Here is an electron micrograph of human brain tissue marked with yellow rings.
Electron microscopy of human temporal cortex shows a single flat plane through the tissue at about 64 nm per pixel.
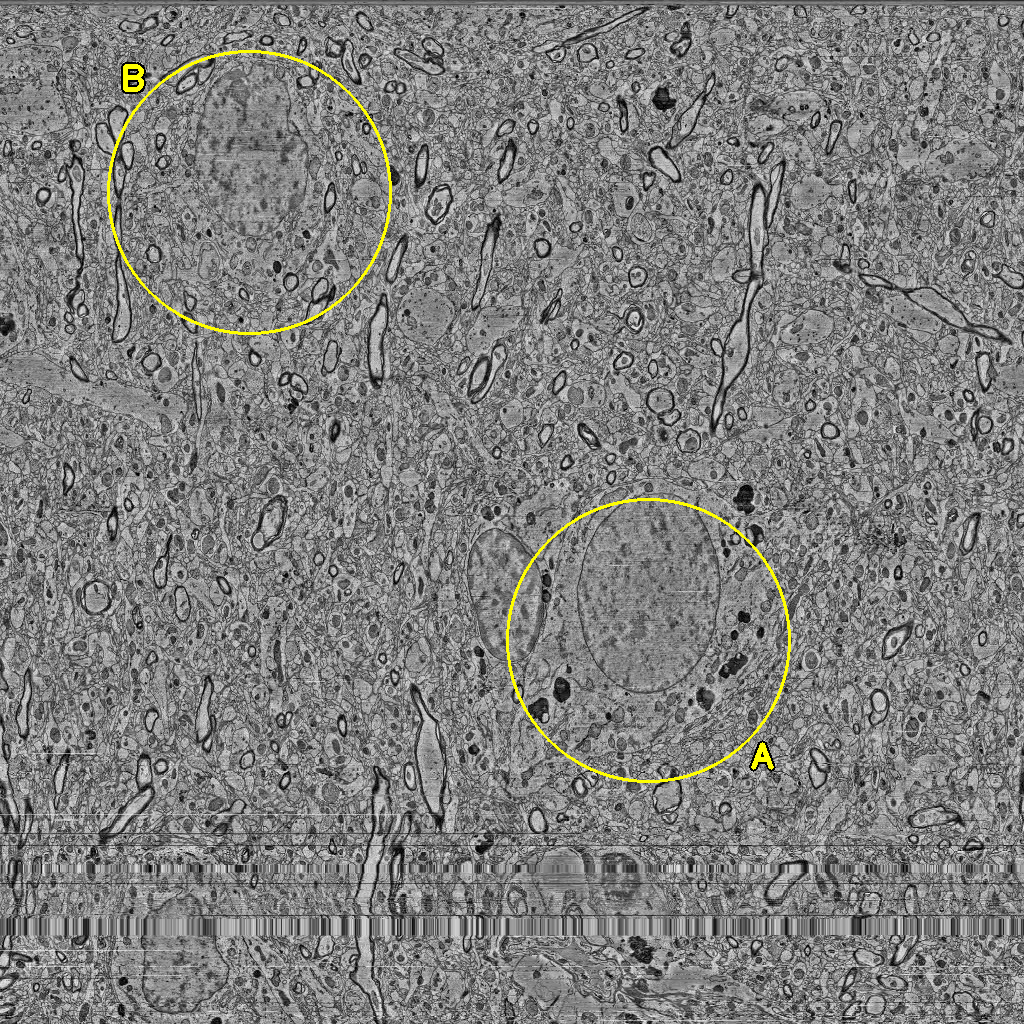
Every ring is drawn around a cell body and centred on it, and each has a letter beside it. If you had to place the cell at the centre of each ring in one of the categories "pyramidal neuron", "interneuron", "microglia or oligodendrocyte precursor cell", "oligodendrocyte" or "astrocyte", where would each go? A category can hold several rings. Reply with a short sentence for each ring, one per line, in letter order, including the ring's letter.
The centre of ring A holds a pyramidal neuron.
The centre of ring B holds an interneuron.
